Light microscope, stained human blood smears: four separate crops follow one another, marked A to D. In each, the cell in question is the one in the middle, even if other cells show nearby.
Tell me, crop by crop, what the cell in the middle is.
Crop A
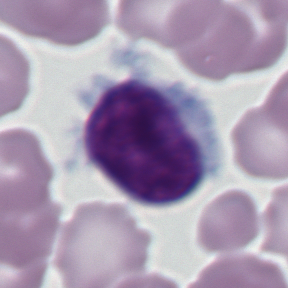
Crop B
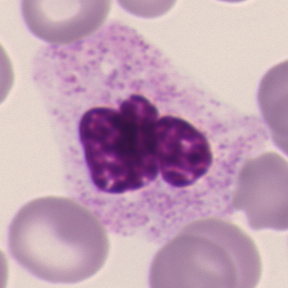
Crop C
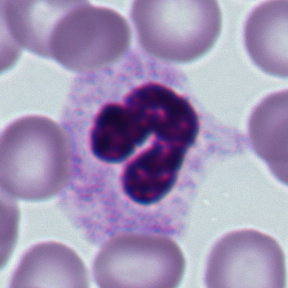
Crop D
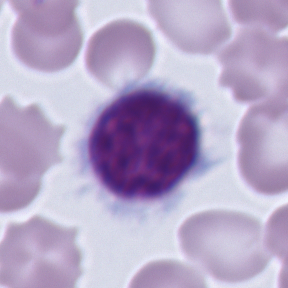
A: hairy cell
B: segmented neutrophil
C: segmented neutrophil
D: hairy cell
